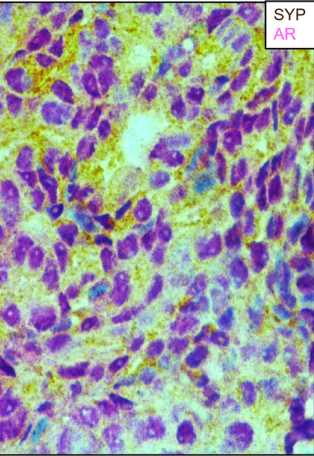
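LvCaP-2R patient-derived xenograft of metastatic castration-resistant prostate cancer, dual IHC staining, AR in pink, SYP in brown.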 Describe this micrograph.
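This is a densely cellular tumor made of tightly packed cells with little intervening stroma, seen at high magnification. Around most nuclei lies a scant rim of cytoplasm that holds a fine, granular yellow-brown deposit. The cells are arranged in sheets without obvious glands, and scattered pale, nearly empty spaces interrupt the sheets. The two colours coincide in the same cells, pink in the nuclei and brown in the surrounding cytoplasm.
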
